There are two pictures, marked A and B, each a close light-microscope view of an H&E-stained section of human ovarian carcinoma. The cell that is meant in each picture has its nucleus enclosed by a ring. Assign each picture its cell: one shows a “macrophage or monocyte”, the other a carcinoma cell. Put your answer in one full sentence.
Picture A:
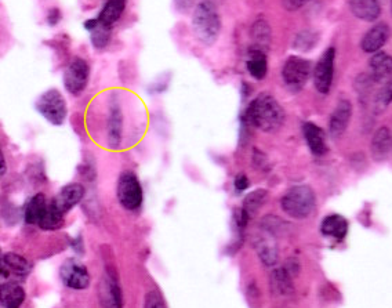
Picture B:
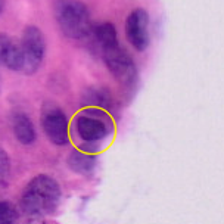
Picture B shows a carcinoma cell, while picture A shows a “macrophage or monocyte”.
